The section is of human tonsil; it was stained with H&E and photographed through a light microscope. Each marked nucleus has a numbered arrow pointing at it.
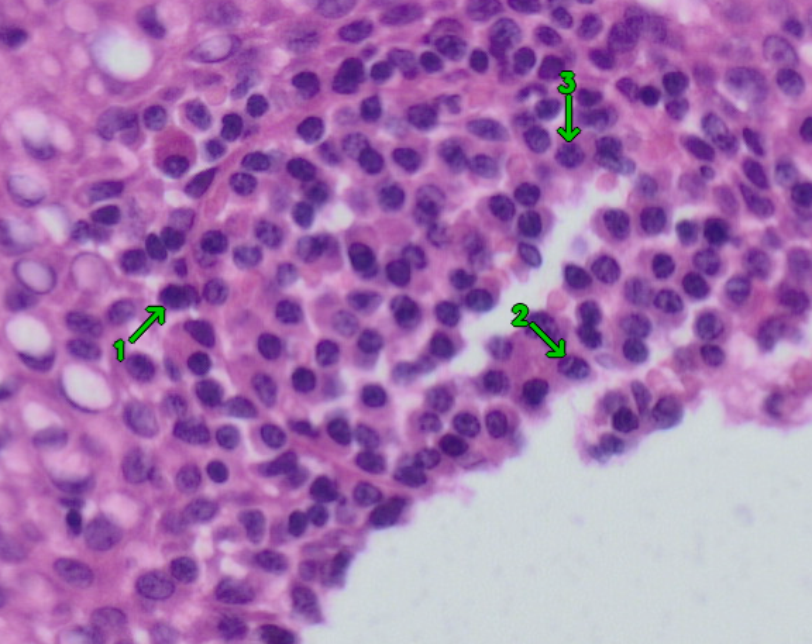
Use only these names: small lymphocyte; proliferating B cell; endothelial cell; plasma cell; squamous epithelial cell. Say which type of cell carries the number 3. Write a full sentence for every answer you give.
Numbered cell 3 is a plasma cell in this tissue section.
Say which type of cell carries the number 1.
Cell 1, as marked in the section, is a squamous epithelial cell.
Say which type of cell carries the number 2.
The cell indicated by marker 2 is a plasma cell in this section.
